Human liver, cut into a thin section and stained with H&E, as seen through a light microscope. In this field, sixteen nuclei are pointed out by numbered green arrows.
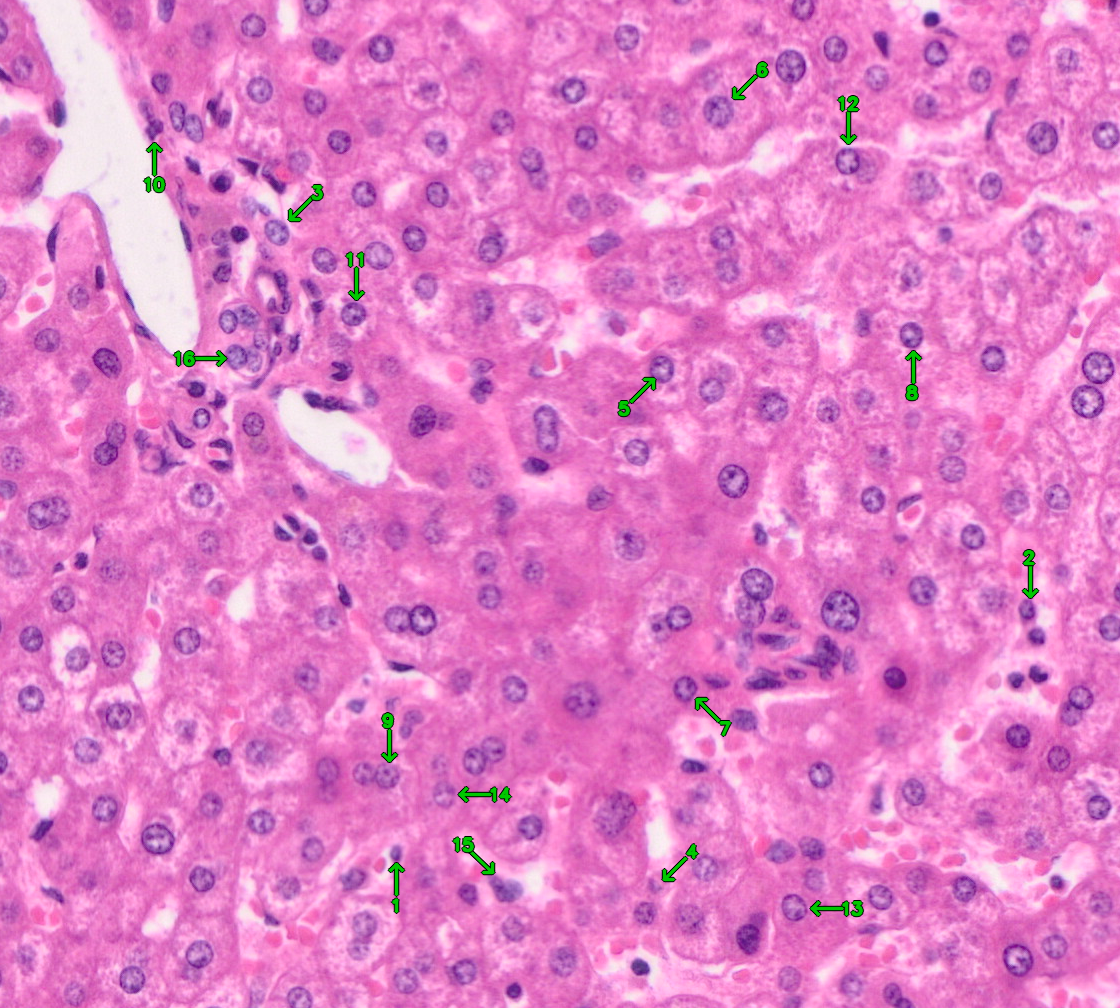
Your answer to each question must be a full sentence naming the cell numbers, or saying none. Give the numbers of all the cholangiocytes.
The cells which carry the numbers 3 and 16 are cholangiocytes.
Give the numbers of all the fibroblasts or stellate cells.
Cell 10 is a fibroblast or stellate cell; no further numbered cell is.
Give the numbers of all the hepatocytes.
The cells numbered 5, 6, 7, 8, 9, 11, 12, 13 and 14 fall into the category of hepatocytes.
